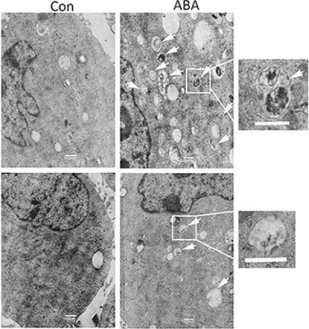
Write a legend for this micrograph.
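In the fields on the left the cytoplasm is fairly uniform, with only a few small pale vacuoles. In the upper field on the right the cytoplasm holds many rounded, membrane-bound autophagic vacuoles, marked by arrows. Some of these are empty-looking and others contain dense or membranous material. The lower field on the right shows fewer vacuoles, and these are mostly pale.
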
